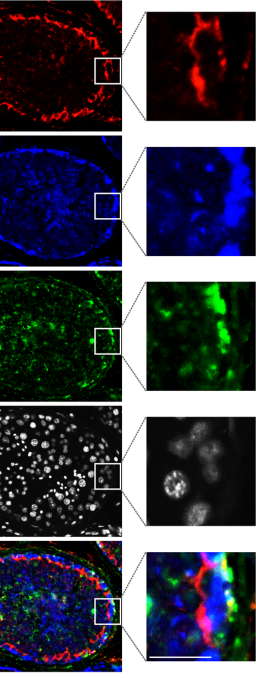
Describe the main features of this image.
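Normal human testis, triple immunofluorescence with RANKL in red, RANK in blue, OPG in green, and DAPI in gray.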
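The red staining forms a nearly continuous, irregular band along the outer edge of the tubule, with short extensions reaching inward. The blue staining outlines the same peripheral rim and is also scattered more faintly through the interior of the tubule. The green staining appears as fine granules spread through the tubule, with brighter spots near its edge and in the tissue outside it. The gray nuclear stain shows many round nuclei packed in the tubule's interior.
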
